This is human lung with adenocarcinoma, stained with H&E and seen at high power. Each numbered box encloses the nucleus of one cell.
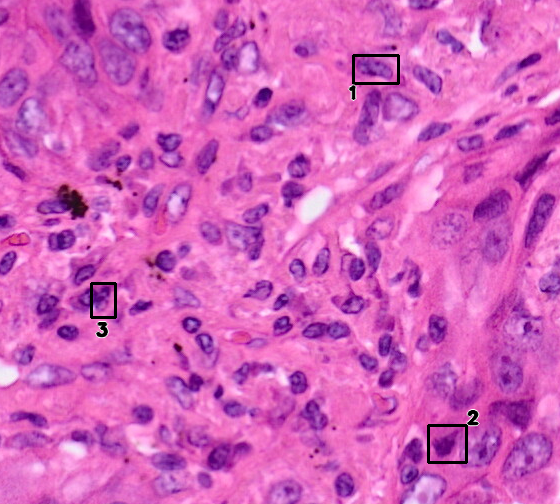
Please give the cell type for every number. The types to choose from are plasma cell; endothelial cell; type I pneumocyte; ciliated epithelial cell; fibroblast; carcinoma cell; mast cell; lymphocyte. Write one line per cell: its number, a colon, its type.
1: plasma cell
2: carcinoma cell
3: plasma cell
